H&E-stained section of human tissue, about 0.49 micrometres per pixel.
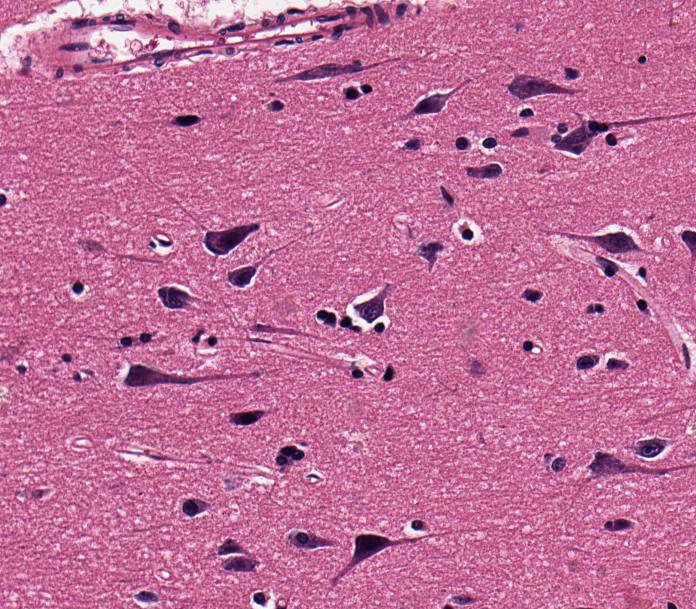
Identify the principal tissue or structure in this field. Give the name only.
cerebral cortex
